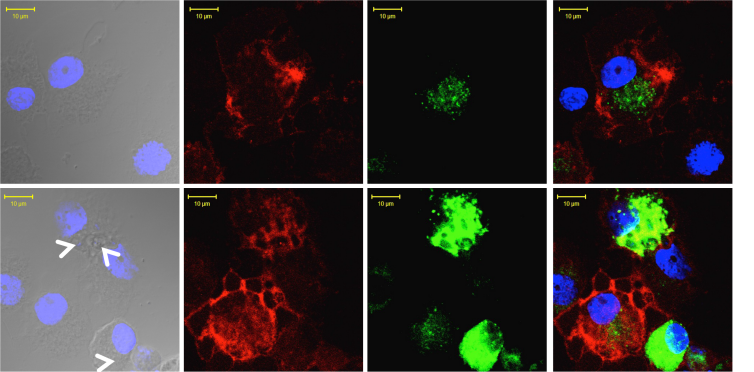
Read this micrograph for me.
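Green puncta cluster within the cytoplasm beside the nucleus in the upper row, while in the lower row some cells hold large, bright green masses filling much of the cytoplasm. In the grey transmitted-light view of the lower row, small rounded bodies lie inside the cells, marked by white arrowheads.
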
